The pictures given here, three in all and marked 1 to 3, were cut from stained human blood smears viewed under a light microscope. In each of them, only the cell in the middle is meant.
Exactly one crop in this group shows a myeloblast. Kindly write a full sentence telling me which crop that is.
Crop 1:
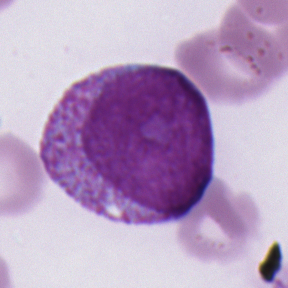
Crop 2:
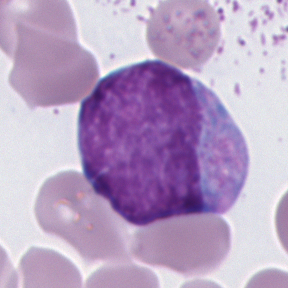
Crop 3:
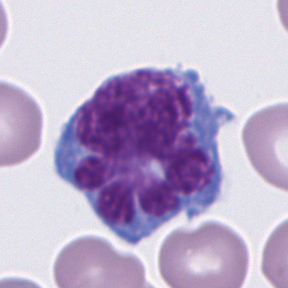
Of the labelled crops, the one that shows a myeloblast is crop 3.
